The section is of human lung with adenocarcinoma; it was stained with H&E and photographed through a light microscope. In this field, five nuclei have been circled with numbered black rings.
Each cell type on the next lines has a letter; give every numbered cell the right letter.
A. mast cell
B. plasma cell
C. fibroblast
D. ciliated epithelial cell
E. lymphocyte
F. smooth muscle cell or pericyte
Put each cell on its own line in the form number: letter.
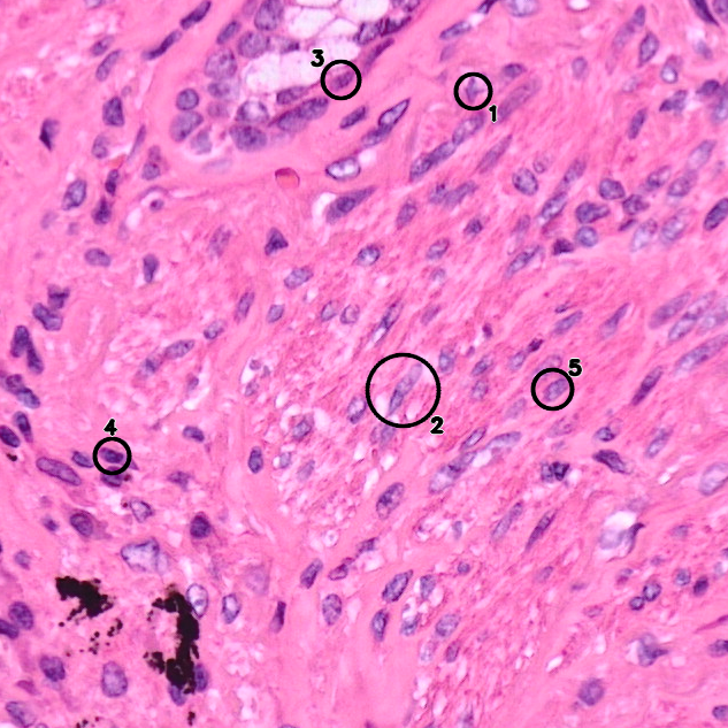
1: F
2: F
3: D
4: A
5: F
